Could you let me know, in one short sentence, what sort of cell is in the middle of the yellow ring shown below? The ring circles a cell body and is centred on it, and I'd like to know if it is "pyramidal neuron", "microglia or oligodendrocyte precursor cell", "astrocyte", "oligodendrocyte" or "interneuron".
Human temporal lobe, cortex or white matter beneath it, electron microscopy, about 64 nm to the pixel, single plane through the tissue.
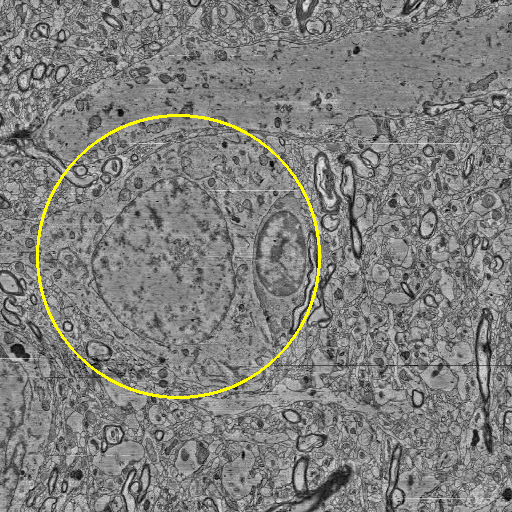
The ring circles the cell body of an interneuron.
